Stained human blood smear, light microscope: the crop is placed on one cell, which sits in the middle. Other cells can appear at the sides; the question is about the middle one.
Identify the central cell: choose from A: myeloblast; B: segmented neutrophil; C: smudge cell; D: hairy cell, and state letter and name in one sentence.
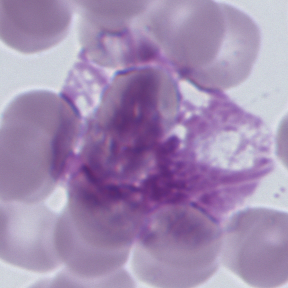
Here the central cell is a smudge cell, and option C is correct.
